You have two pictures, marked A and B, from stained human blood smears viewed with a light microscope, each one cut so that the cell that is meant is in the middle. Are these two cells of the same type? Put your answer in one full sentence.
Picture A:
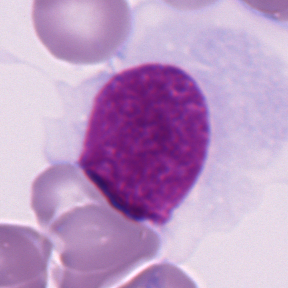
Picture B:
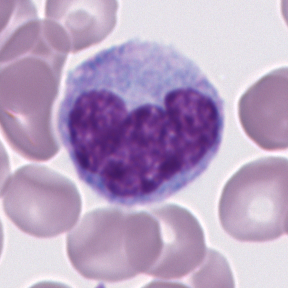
No. Picture A shows a hairy cell, but picture B shows a monocyte.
